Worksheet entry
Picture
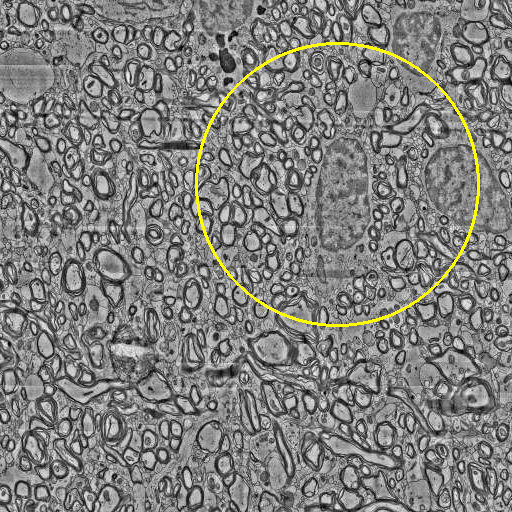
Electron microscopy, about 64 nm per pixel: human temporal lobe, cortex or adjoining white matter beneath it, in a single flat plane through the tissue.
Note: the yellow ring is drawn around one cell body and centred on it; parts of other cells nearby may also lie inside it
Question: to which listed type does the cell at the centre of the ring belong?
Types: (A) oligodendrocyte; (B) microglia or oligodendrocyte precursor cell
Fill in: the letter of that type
A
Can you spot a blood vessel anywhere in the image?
No, no blood vessel shows in the picture.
